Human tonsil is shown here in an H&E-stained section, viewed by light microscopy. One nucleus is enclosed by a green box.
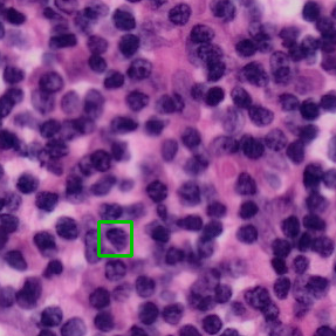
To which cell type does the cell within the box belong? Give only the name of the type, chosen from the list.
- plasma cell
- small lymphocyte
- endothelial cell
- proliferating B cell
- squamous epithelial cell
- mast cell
small lymphocyte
